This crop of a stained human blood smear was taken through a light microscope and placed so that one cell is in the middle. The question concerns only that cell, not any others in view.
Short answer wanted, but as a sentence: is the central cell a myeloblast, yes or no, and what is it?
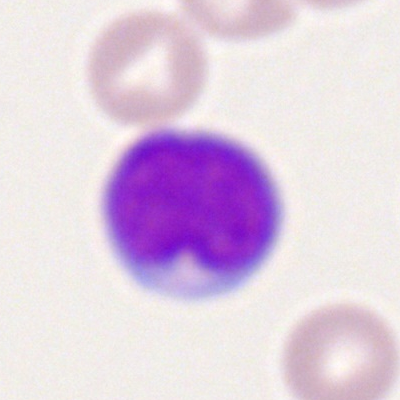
Yes, the identification of the central cell as a myeloblast is correct.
